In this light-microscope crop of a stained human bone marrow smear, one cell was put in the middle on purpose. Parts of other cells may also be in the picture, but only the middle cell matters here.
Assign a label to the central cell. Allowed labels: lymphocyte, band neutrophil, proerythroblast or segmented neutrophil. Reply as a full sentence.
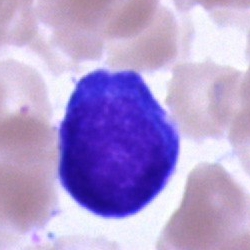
The centered cell in this crop is a proerythroblast.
